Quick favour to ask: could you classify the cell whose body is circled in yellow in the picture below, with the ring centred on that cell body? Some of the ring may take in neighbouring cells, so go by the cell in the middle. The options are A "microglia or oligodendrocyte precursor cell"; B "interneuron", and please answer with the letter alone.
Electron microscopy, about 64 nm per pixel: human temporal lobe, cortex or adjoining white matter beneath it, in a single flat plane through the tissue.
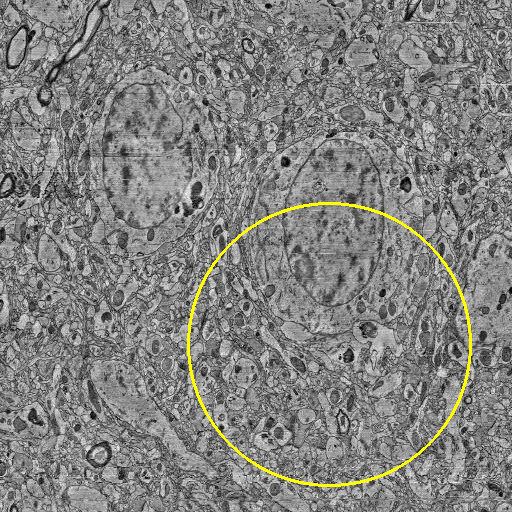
A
